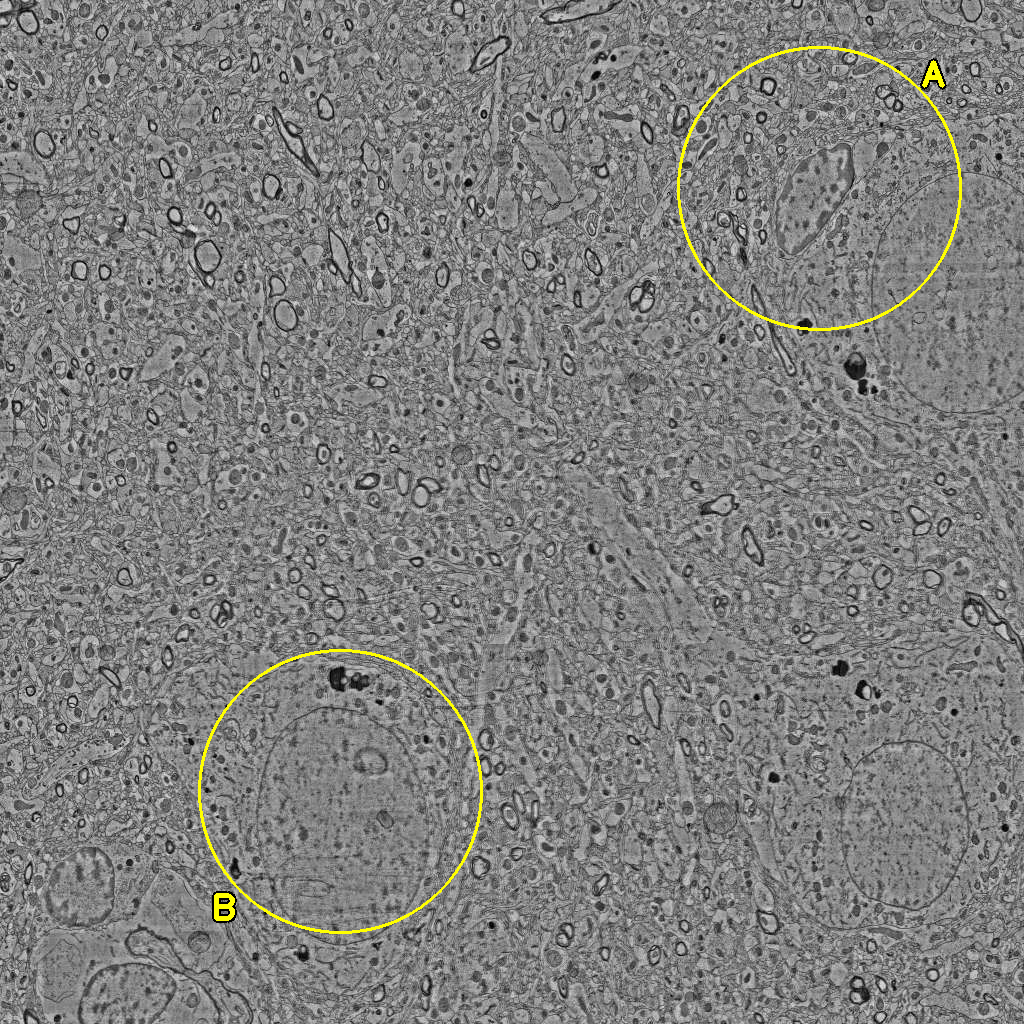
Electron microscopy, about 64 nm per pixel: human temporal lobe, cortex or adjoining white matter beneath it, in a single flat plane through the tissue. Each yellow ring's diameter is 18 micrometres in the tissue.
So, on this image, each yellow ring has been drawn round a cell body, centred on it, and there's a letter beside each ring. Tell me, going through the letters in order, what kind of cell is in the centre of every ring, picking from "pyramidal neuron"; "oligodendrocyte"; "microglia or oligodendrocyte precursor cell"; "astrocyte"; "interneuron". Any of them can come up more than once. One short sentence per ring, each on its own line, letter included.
Ring A has been drawn round a microglial cell or oligodendrocyte precursor cell.
Ring B has been drawn round a pyramidal neuron.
